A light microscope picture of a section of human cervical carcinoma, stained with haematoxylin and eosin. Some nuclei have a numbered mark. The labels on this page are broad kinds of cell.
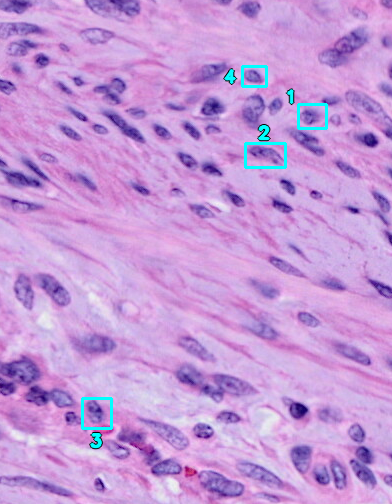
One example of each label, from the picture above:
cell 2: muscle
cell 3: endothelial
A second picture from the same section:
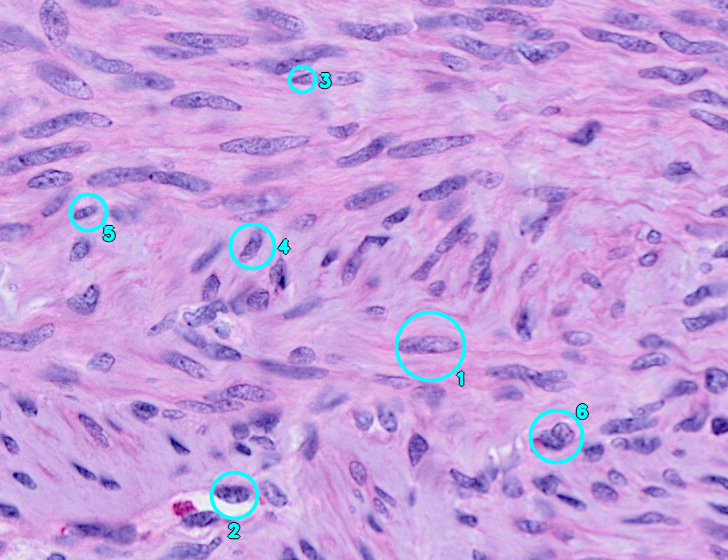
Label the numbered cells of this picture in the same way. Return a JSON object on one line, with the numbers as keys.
{"1": "muscle", "2": "endothelial", "3": "muscle", "4": "muscle", "5": "muscle", "6": "endothelial"}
